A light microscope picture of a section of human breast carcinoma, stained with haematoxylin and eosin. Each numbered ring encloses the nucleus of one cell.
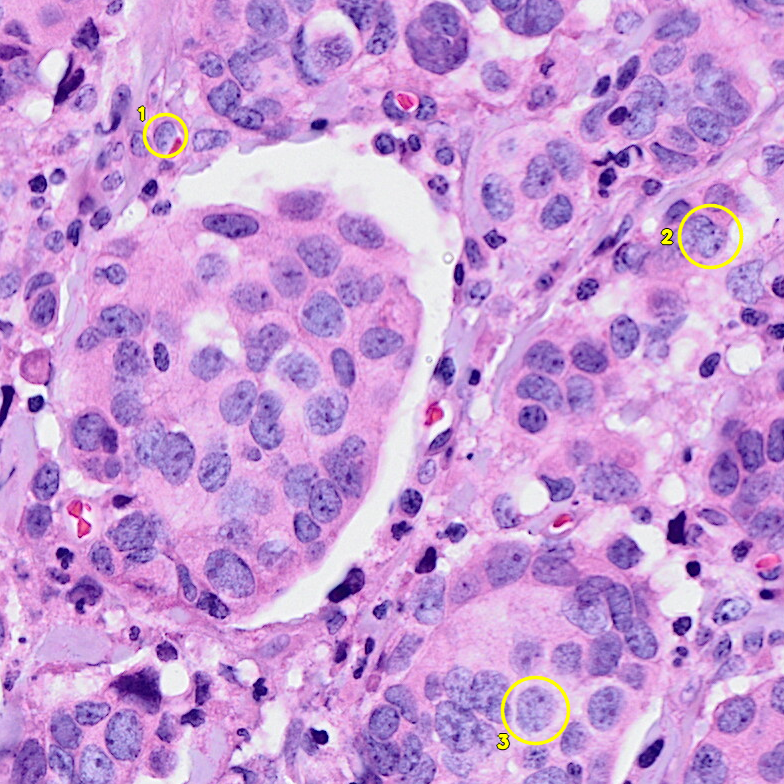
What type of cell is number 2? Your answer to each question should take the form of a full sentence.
The cell to which the number 2 is assigned is a carcinoma cell.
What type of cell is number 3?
Numbered cell 3 is a carcinoma cell in this tissue section.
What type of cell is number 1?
Number 1 is placed on an endothelial cell here.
